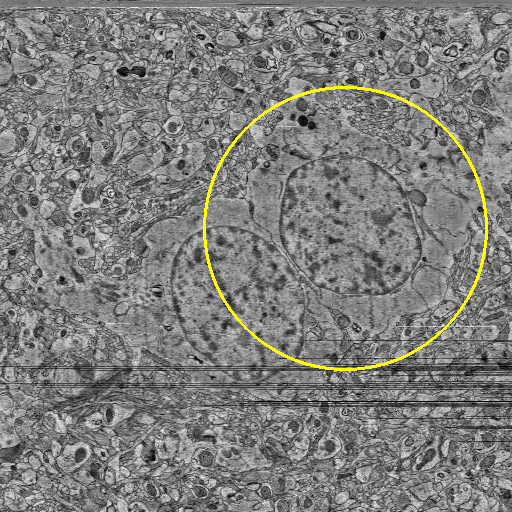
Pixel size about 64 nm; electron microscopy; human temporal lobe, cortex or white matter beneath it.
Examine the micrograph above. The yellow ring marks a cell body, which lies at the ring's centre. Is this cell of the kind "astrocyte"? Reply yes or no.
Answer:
yes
